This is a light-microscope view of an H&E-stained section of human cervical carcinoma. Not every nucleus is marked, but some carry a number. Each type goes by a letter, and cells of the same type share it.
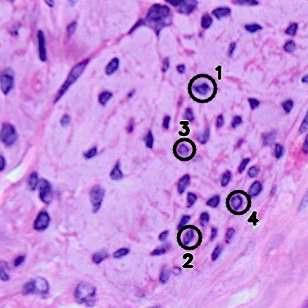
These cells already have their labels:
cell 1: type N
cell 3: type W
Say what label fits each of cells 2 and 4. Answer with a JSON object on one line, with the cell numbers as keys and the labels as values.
{"2": "type W", "4": "type W"}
